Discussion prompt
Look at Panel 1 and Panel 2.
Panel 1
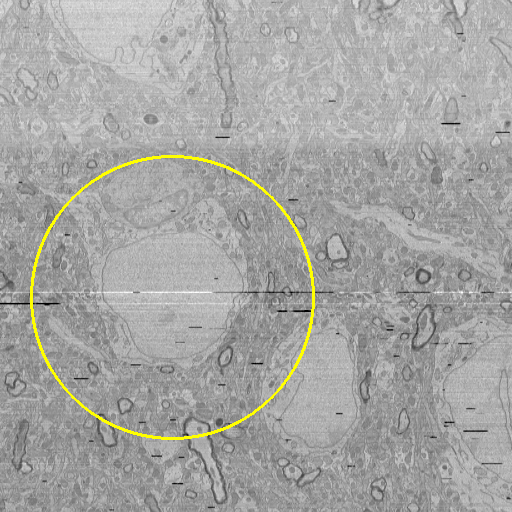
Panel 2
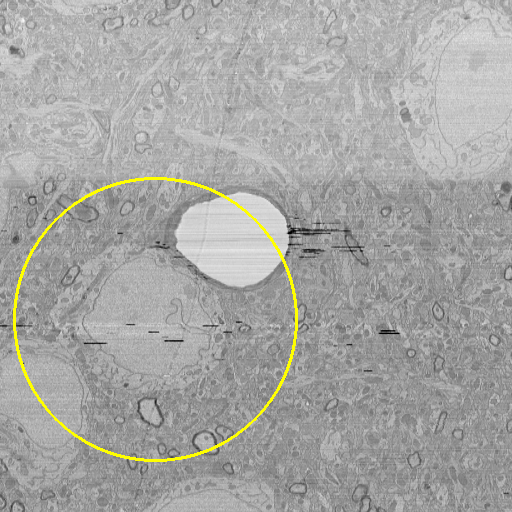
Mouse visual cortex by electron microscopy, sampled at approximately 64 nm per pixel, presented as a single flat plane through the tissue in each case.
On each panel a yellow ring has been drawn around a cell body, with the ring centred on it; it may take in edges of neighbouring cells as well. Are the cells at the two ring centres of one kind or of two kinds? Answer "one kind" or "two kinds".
one kind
